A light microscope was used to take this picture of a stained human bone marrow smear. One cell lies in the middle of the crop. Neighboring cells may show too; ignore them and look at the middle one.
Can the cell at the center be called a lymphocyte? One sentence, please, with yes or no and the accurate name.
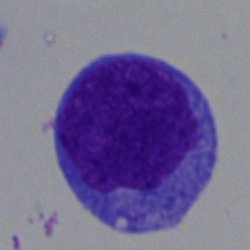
No, the cell at the center of this crop is a blast instead of a lymphocyte.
